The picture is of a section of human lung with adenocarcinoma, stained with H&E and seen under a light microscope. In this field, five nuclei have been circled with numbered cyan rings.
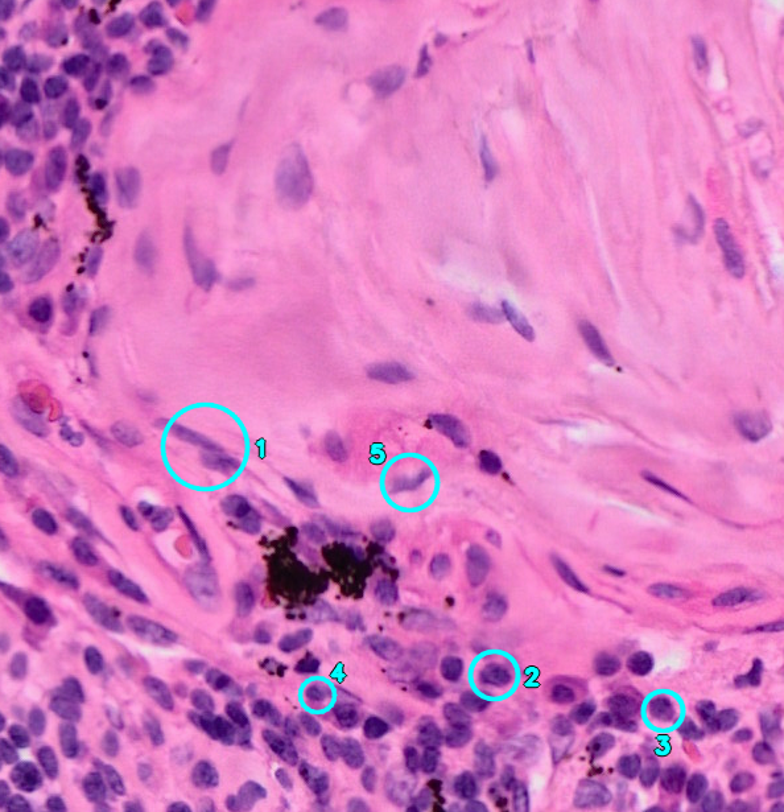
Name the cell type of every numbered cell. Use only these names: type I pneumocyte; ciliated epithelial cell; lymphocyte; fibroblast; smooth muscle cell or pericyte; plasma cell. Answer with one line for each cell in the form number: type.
1: fibroblast
2: lymphocyte
3: lymphocyte
4: lymphocyte
5: fibroblast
